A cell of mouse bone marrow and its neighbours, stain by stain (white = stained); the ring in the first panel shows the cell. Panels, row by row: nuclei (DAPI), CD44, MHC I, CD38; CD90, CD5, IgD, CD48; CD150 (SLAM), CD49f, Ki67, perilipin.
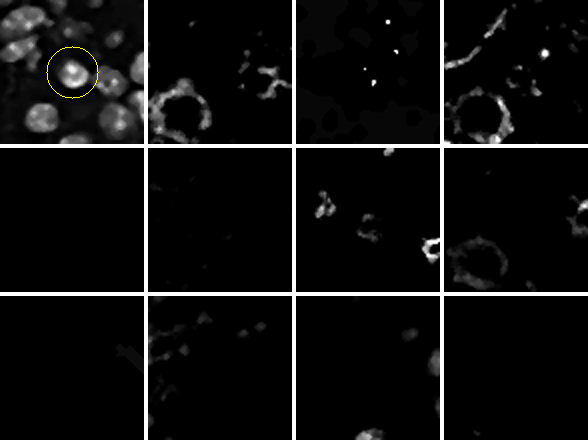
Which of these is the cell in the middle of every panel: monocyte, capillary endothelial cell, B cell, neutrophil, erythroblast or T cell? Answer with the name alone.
erythroblast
